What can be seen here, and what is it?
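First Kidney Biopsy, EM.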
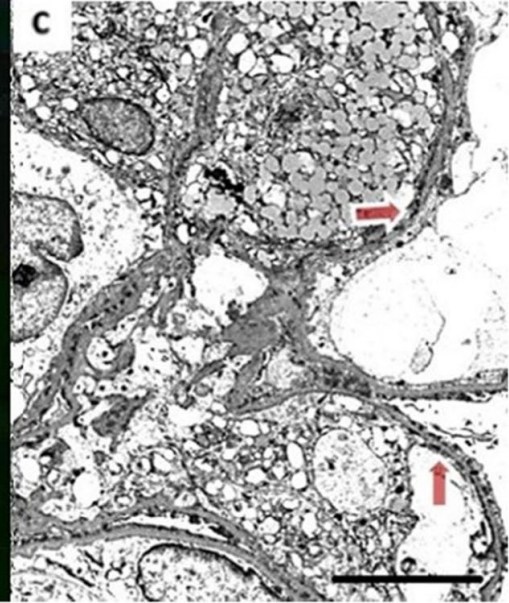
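This electron micrograph shows glomerular capillary loops, each bounded by a grey basement membrane. Inside the lumens lie large cells whose cytoplasm is packed with many round, pale vacuoles of varying size, giving them a foamy, bubbly look; these are macrophages within the capillaries. Elsewhere nuclei with dark rims of chromatin can be seen at the edges. Along the inner side of the basement membrane, between it and the lining cell, small dark granular deposits sit here and there, marked by arrows. On the outer side, pale open spaces of the urinary space border the loops.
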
